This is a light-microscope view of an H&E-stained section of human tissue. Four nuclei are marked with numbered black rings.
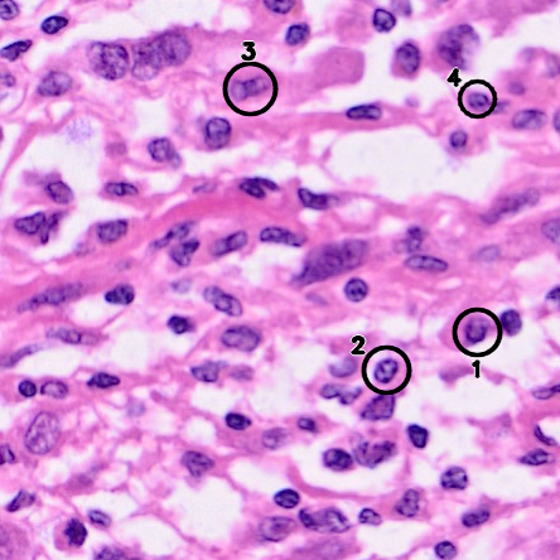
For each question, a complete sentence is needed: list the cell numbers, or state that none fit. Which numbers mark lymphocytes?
Only at number 2 is there a lymphocyte among the marked cells.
